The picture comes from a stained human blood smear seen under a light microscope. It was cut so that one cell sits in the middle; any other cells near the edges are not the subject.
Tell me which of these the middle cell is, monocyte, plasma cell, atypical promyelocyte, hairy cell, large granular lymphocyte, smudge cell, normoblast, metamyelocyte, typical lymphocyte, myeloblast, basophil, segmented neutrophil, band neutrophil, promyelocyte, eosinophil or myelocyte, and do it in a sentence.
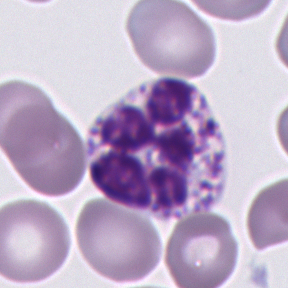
Seen at the centre of the crop is a basophil.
